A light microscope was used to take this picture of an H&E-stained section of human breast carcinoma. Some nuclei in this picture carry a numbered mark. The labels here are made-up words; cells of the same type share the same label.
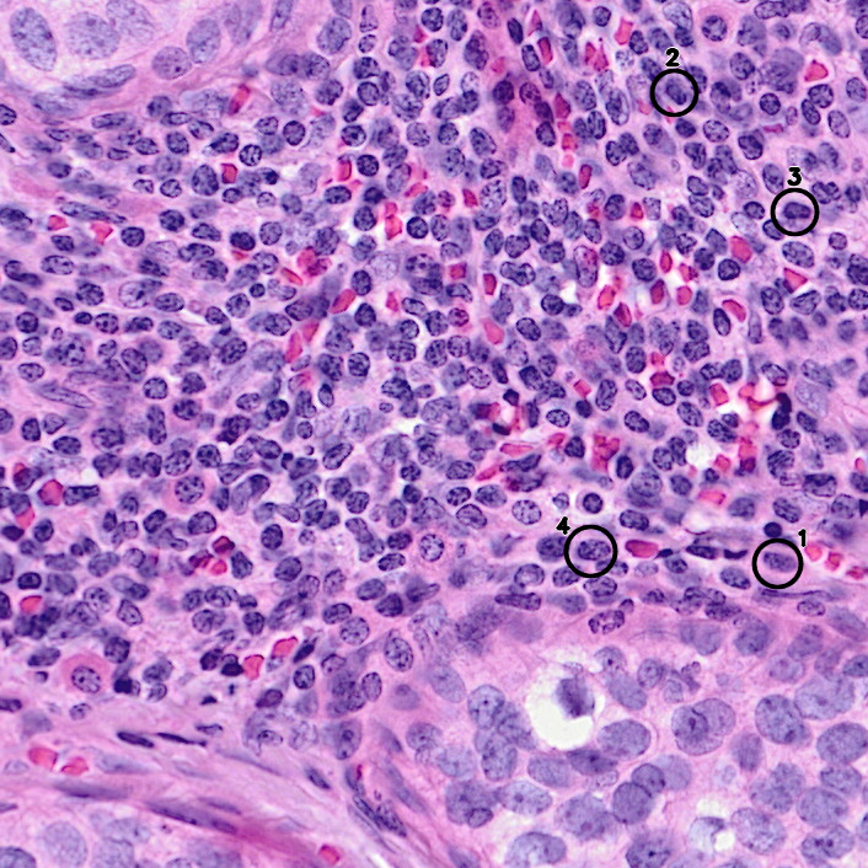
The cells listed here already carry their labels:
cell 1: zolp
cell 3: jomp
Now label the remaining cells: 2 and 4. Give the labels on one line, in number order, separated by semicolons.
jomp; jomp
